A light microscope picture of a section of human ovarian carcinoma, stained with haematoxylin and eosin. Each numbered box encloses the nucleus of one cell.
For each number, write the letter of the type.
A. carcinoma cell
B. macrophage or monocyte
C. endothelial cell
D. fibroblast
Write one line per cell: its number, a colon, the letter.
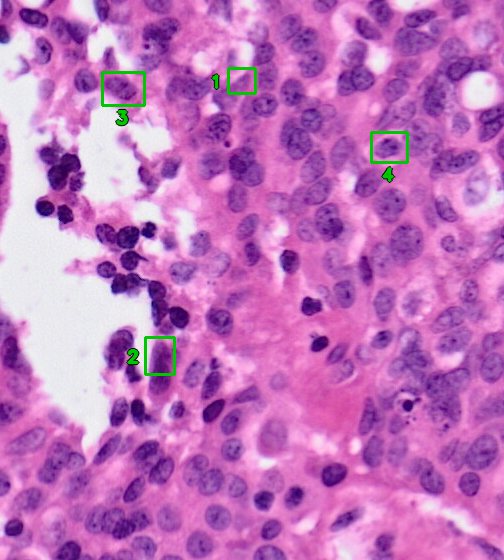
1: A
2: A
3: A
4: B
